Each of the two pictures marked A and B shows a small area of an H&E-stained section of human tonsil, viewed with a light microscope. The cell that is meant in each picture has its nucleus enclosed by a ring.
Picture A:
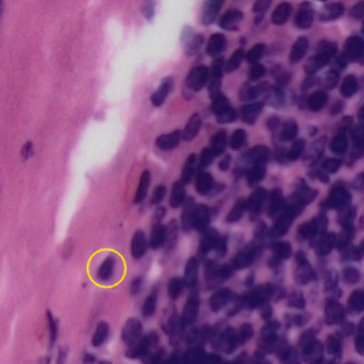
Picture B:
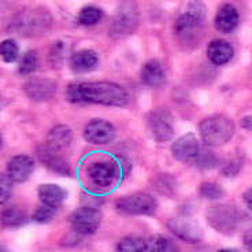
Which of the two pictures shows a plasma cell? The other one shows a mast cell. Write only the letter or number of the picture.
B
